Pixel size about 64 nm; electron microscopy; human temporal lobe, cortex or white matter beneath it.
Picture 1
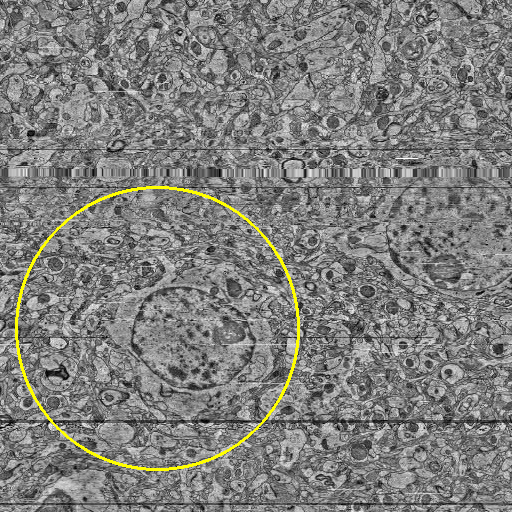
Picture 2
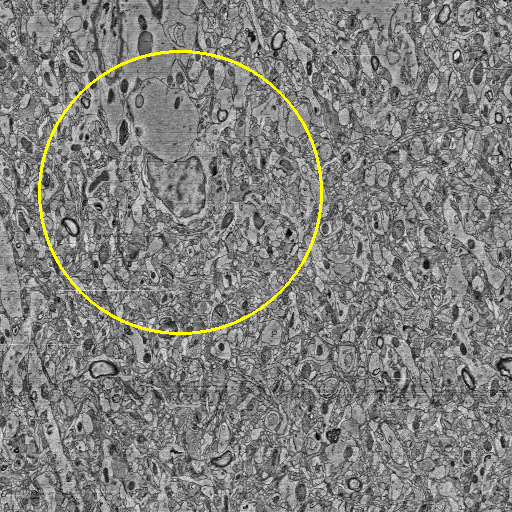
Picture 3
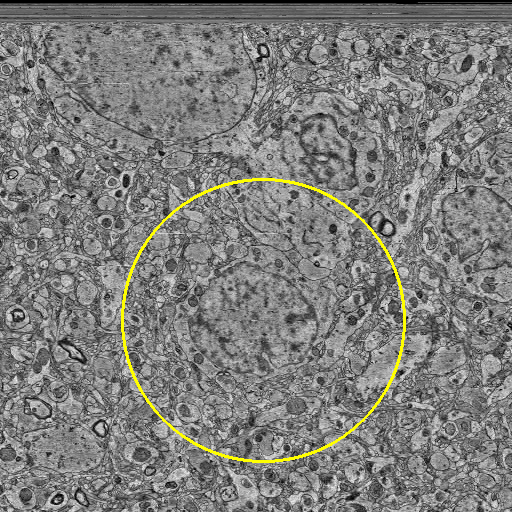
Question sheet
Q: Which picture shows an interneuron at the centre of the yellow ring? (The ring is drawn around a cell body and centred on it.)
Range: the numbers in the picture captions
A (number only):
3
